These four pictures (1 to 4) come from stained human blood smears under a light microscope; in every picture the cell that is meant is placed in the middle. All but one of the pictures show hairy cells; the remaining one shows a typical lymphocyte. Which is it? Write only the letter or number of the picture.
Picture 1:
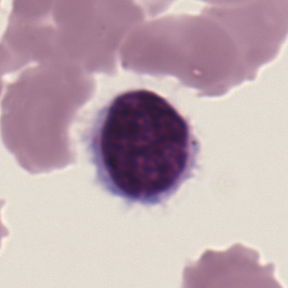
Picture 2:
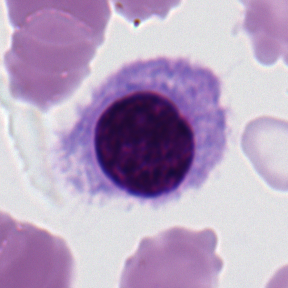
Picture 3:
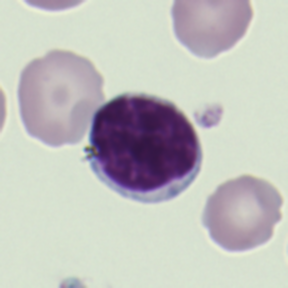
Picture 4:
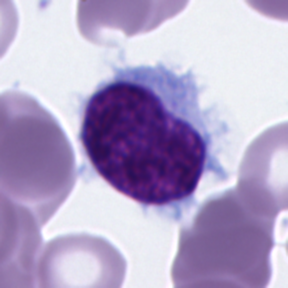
3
